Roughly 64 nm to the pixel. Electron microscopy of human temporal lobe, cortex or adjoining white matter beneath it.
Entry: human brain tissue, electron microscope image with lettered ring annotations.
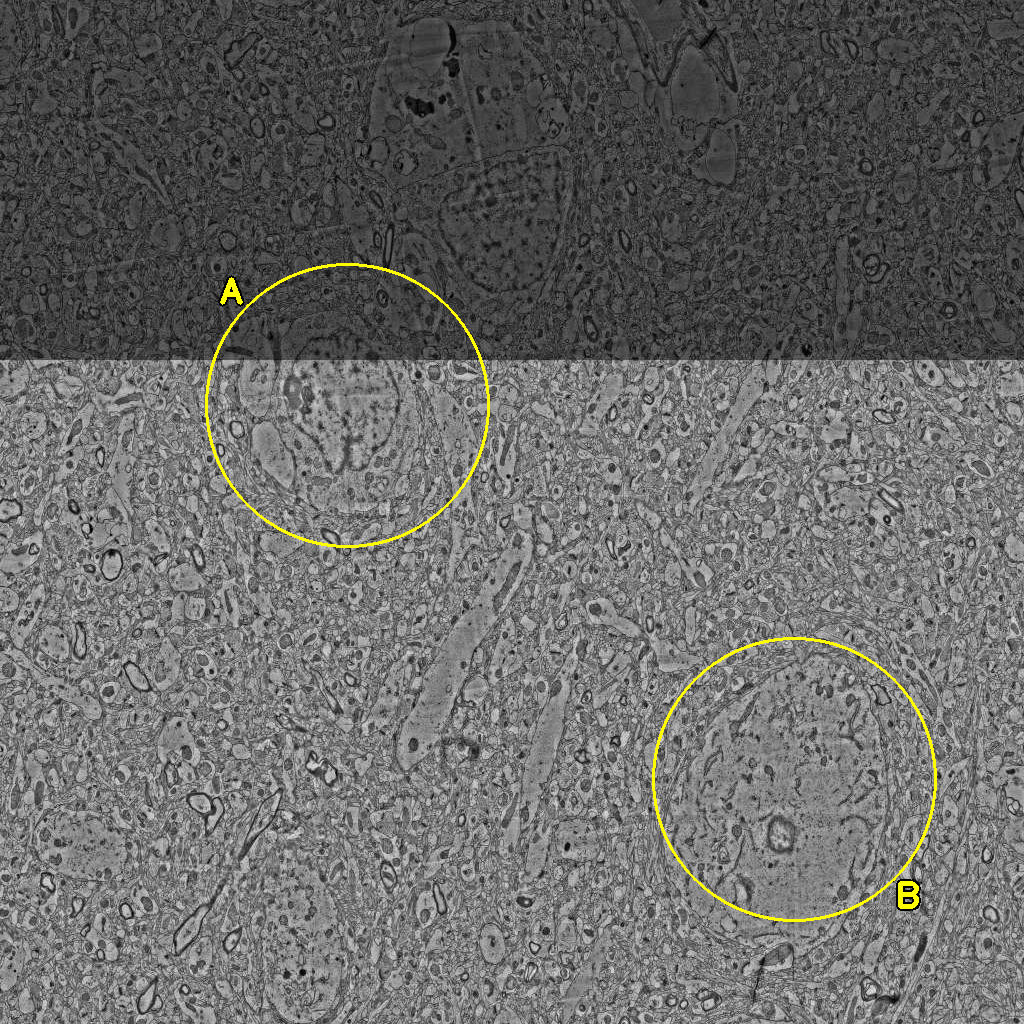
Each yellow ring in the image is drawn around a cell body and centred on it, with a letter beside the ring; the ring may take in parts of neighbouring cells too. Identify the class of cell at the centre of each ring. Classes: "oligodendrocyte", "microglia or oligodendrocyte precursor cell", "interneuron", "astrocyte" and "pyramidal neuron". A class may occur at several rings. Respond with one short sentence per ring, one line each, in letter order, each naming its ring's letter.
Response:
Ring A holds an interneuron at its centre.
Ring B holds a pyramidal neuron at its centre.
